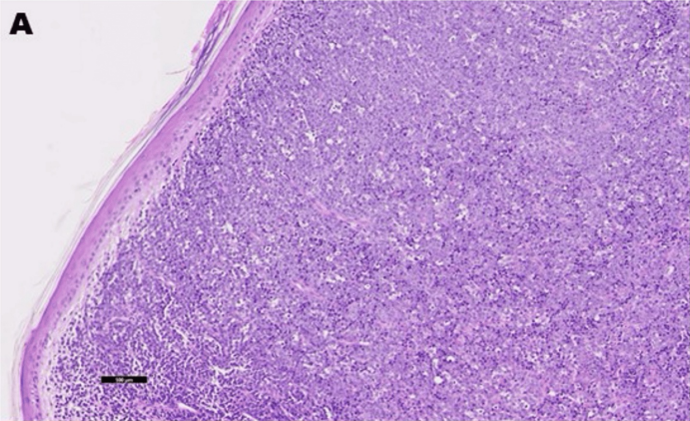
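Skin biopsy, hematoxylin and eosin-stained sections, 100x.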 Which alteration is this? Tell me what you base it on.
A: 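A thin epidermis runs along the left edge. Beneath it the dermis is filled by a dense, continuous sheet of small dark-staining cells. No normal dermal structures are seen within the sheet.
Hence: diffuse atypical lymphoid infiltrate.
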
